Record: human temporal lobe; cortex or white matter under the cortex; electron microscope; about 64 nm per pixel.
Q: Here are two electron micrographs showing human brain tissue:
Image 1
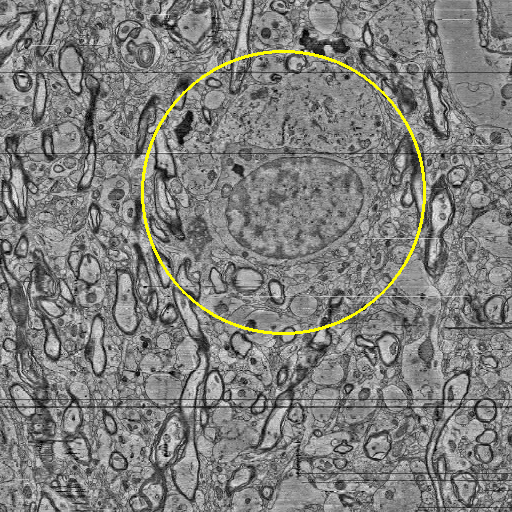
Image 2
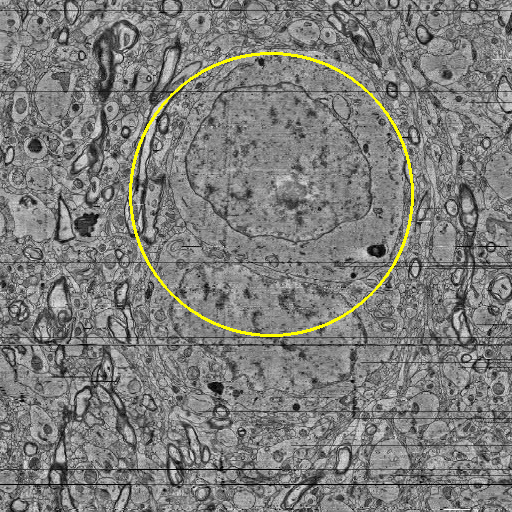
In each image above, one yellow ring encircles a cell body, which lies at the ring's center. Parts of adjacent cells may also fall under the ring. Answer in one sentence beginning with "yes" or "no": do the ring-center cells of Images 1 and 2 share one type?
No, in Images 1 and 2, the ring-center cells are of two types.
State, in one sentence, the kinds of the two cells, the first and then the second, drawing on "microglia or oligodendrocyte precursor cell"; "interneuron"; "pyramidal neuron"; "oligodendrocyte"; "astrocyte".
The ring in the second picture is centred on a pyramidal neuron, the ring in the first on an oligodendrocyte.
